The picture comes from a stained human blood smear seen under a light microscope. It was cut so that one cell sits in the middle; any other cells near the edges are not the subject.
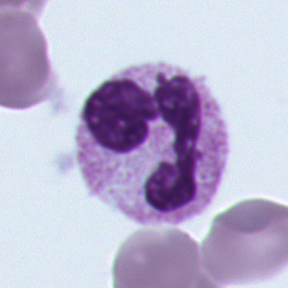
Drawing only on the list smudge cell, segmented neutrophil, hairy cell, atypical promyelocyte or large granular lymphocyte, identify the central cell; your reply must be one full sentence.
By classification, the middle cell of this crop is a segmented neutrophil.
